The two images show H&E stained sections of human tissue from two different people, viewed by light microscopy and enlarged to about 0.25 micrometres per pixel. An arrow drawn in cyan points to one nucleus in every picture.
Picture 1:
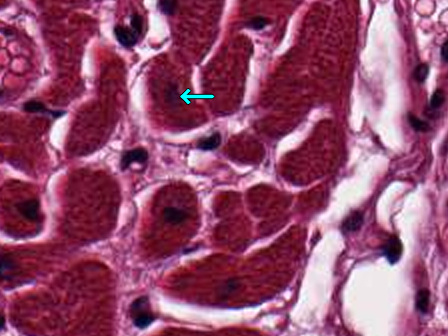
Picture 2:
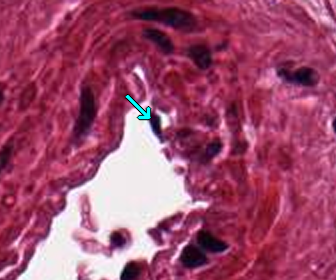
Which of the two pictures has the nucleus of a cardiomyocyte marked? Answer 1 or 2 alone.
1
